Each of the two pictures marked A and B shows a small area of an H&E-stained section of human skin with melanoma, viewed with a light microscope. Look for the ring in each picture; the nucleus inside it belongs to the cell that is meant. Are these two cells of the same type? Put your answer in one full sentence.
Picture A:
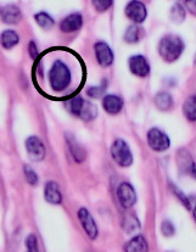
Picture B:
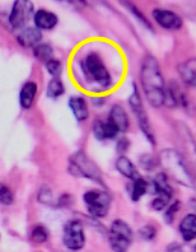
Yes, both are lymphocytes.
